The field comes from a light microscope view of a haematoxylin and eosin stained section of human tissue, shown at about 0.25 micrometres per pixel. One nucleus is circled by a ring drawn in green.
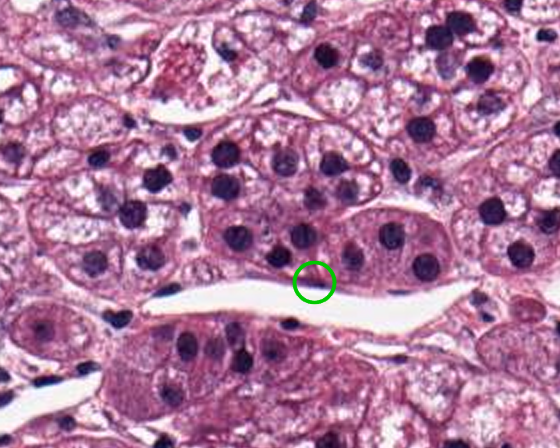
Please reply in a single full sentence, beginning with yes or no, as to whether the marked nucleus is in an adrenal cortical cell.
No, the marked nucleus does not belong to an adrenal cortical cell; it belongs to a supporting cell.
